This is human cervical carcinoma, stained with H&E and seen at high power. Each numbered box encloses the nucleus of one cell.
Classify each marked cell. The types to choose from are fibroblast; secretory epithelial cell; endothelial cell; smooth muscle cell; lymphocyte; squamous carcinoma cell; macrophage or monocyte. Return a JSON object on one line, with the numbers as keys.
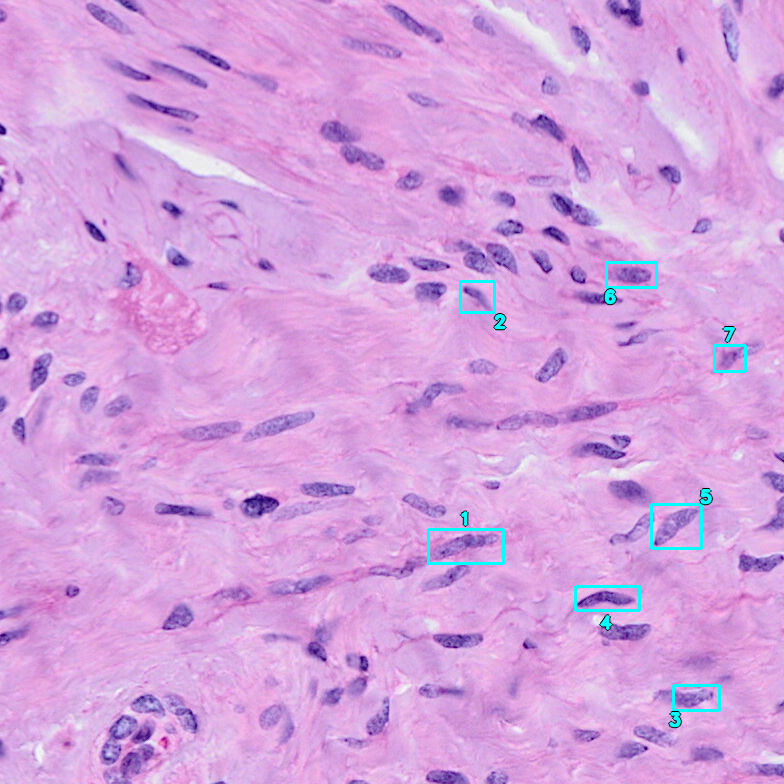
{"1": "smooth muscle cell", "2": "fibroblast", "3": "fibroblast", "4": "fibroblast", "5": "fibroblast", "6": "smooth muscle cell", "7": "smooth muscle cell"}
